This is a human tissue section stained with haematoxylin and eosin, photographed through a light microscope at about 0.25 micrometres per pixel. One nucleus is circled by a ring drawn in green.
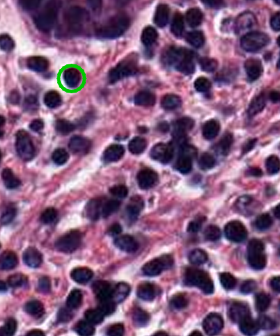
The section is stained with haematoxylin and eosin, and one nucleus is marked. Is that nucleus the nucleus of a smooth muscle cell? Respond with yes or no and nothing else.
no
